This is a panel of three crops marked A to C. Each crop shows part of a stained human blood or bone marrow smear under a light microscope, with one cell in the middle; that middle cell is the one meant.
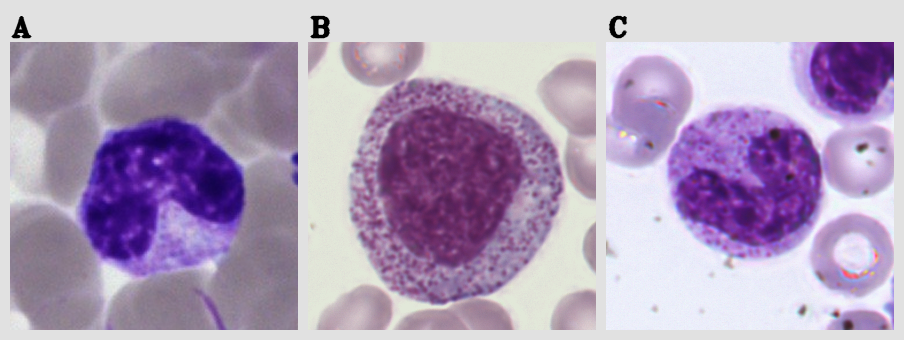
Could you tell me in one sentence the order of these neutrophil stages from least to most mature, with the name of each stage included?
Proceeding from least to most mature, the order is crop B (a myelocyte), crop A (a metamyelocyte) and crop C (a band neutrophil).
